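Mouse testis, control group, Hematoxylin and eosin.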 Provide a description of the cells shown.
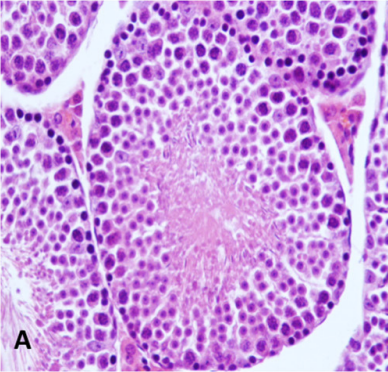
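The tubule is packed with germ cells in many layers: small, dark nuclei sit against the thin wall, larger round cells with coarse purple chromatin fill the middle layers, and smaller round cells lie toward the centre. The lumen is filled with a dense mass of pink, fibrillar tail material from sperm. Neighbouring tubules press closely against it, separated by narrow clefts, with a small pink-staining interstitial area between them. The epithelium is continuous and firmly attached to the wall.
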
